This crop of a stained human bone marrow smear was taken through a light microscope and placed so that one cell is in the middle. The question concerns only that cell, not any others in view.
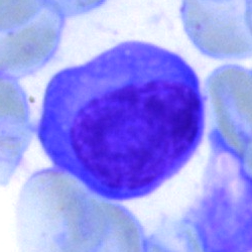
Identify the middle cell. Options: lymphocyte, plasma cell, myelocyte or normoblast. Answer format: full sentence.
For this crop, the central cell is a plasma cell.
